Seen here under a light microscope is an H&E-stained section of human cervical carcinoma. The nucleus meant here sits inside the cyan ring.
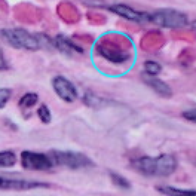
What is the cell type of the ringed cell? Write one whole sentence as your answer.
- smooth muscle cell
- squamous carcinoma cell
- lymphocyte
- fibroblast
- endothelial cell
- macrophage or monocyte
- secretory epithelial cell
The expected answer is simply that the ringed cell is an endothelial cell.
